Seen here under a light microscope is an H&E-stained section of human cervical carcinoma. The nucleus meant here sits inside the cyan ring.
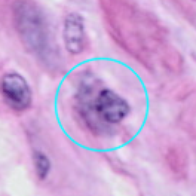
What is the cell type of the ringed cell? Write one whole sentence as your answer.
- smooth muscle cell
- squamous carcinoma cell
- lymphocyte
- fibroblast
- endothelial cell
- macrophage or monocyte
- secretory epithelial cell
With respect to cell type, the ringed cell is a macrophage or monocyte.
